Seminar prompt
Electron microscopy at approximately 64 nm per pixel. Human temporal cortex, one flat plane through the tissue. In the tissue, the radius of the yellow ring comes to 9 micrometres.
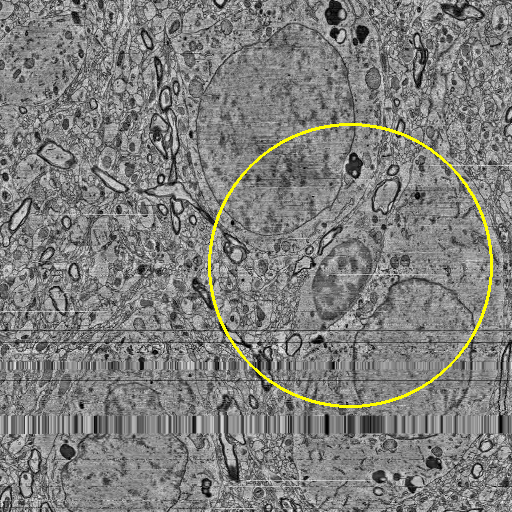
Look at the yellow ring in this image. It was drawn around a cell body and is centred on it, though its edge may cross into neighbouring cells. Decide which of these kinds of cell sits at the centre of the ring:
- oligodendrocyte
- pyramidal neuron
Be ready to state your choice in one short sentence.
The kind of cell at the ring's centre is an oligodendrocyte.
